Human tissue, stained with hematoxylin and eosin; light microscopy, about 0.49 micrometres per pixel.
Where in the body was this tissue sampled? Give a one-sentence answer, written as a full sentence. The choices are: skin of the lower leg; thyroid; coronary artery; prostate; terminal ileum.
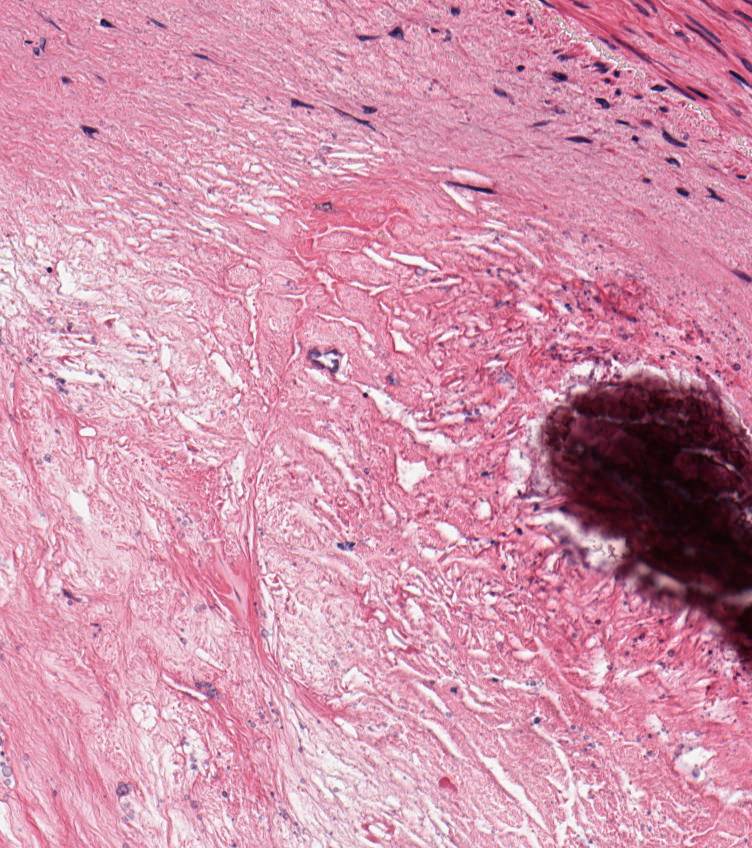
The specimen on this slide came from the coronary artery.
